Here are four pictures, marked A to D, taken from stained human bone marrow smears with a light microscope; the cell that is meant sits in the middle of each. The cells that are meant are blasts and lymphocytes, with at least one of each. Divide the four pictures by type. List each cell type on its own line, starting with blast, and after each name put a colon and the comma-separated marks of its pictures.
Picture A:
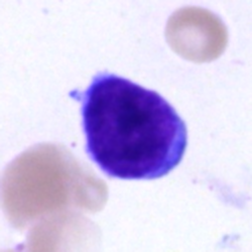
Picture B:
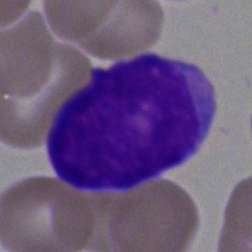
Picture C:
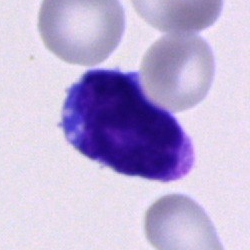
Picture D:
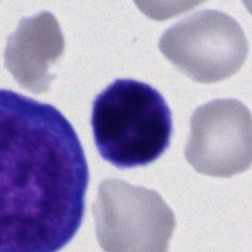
blast: B, C
lymphocyte: A, D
